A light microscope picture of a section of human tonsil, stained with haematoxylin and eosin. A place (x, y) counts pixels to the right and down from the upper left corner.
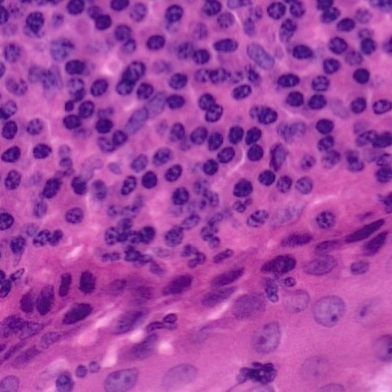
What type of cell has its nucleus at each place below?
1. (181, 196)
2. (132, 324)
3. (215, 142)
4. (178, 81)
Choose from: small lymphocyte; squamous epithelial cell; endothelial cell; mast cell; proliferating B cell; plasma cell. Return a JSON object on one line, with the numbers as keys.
{"1": "plasma cell", "2": "squamous epithelial cell", "3": "plasma cell", "4": "plasma cell"}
